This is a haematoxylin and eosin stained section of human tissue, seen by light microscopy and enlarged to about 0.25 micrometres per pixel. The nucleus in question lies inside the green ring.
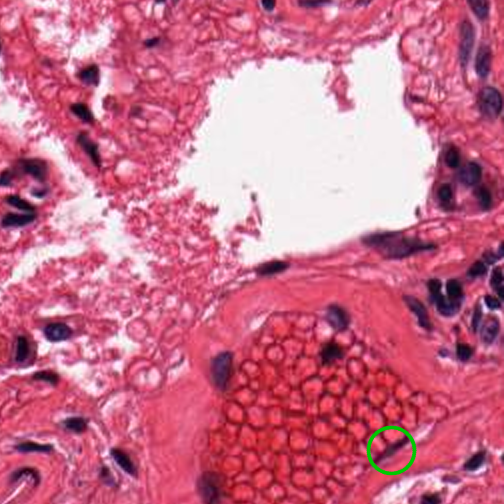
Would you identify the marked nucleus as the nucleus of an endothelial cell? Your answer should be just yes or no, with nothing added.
yes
